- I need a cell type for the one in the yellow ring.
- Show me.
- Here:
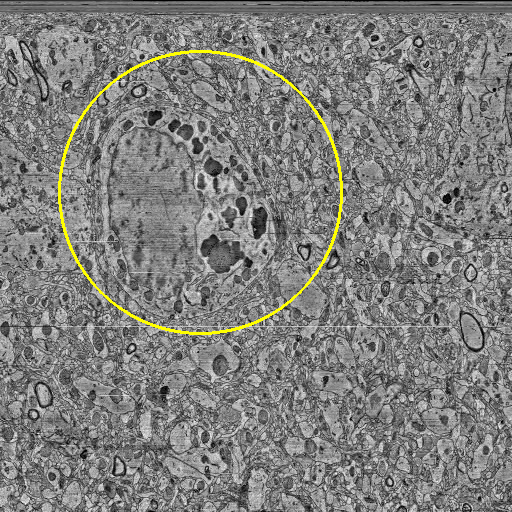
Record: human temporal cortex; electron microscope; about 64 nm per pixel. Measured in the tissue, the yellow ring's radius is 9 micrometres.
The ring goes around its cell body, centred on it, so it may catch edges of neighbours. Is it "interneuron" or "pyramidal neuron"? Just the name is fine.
interneuron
